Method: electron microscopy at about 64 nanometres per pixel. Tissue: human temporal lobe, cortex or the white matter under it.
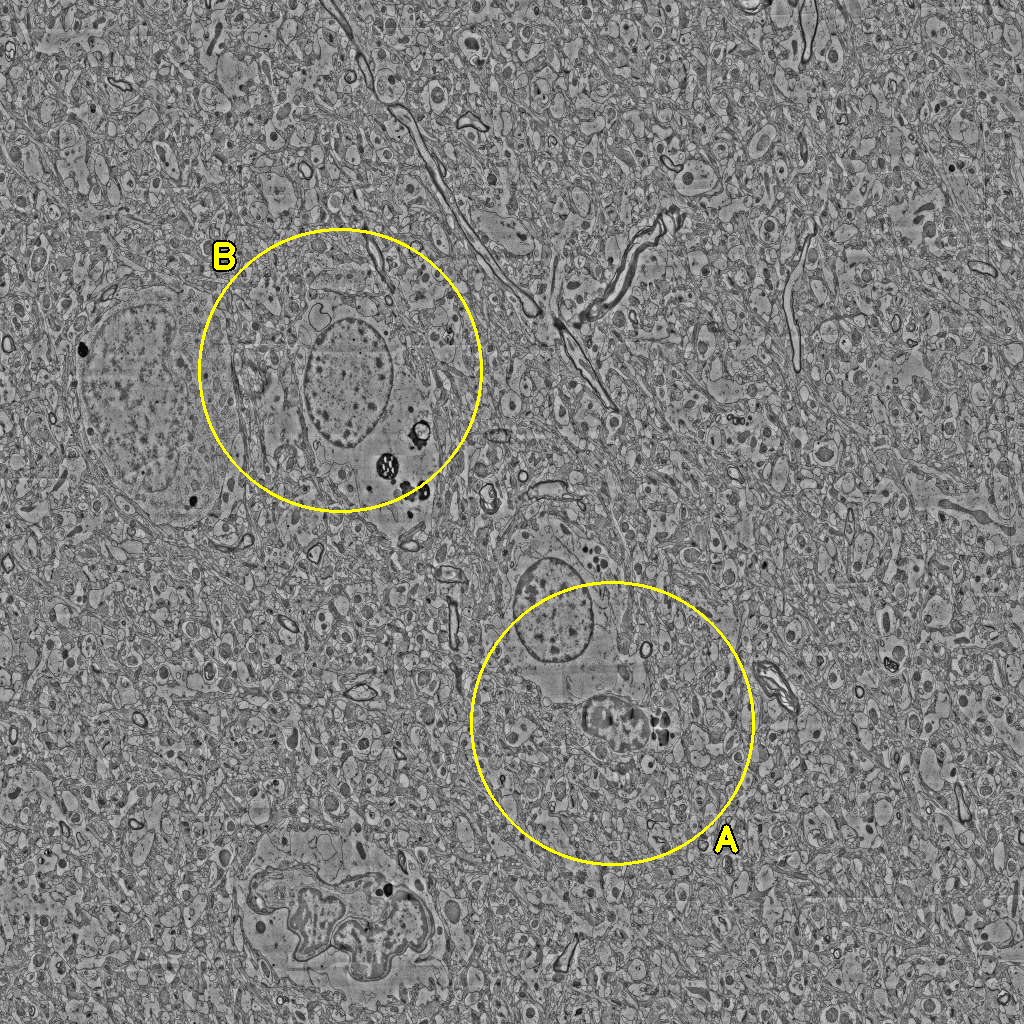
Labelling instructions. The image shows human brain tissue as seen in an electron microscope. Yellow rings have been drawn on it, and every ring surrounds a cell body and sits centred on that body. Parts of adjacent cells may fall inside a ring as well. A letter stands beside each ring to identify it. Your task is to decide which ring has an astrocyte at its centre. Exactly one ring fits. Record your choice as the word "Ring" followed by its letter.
Ring B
